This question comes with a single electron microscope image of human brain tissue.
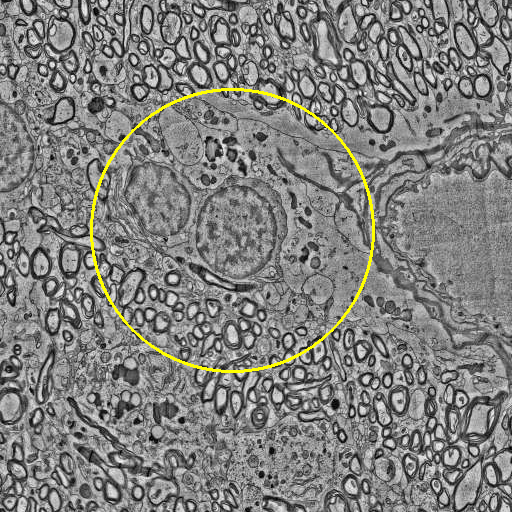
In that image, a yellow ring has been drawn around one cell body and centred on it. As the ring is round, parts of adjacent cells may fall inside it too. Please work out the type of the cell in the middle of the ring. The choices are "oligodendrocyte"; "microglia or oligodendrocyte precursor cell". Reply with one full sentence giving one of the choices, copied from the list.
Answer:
Of the choices, an oligodendrocyte is the cell sitting in the middle of the ring.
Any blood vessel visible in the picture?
Yes, a blood vessel is present in this picture.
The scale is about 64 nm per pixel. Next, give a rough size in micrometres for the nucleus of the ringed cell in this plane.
About 6 by 5 micrometers for the nucleus, in this plane.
